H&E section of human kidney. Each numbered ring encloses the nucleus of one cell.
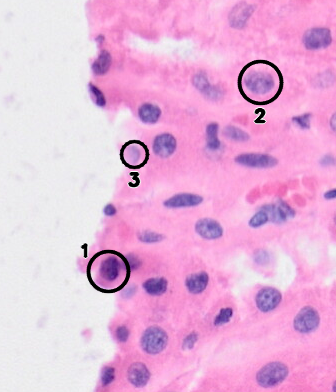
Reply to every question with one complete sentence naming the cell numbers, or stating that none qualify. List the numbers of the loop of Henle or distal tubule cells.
The cells that the numbers 1 and 3 belong to are loop of Henle or distal tubule cells.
